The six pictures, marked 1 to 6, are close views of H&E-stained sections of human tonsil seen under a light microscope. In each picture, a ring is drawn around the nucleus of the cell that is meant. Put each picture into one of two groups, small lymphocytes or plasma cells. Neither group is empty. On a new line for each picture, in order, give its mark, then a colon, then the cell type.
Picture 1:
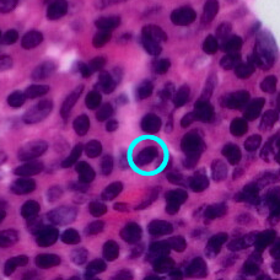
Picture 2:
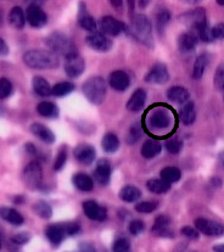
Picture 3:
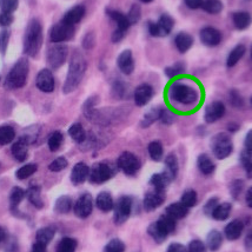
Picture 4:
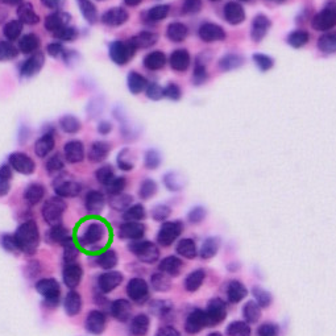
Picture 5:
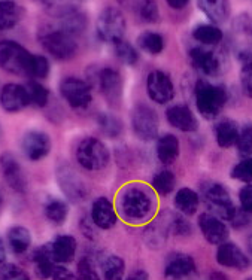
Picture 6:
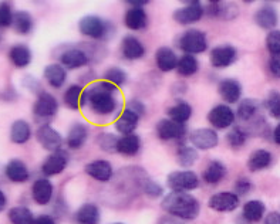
1: plasma cell
2: plasma cell
3: plasma cell
4: small lymphocyte
5: plasma cell
6: small lymphocyte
